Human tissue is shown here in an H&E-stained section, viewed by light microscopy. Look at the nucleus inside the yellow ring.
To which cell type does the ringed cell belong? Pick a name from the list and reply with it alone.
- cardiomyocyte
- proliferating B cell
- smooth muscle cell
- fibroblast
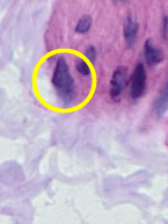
smooth muscle cell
